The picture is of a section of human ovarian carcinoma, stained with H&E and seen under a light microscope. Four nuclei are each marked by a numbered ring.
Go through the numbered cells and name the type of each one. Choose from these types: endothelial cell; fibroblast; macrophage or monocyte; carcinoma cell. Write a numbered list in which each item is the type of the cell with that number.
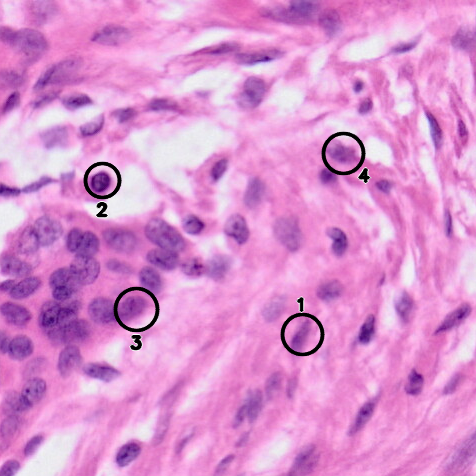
1. fibroblast
2. macrophage or monocyte
3. carcinoma cell
4. fibroblast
